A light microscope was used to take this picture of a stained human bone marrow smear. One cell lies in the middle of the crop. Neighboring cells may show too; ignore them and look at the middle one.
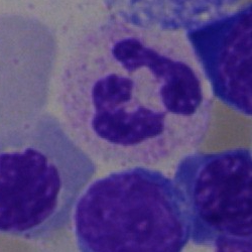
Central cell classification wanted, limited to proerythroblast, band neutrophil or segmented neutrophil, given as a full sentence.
The cell centred in this crop is categorized as a segmented neutrophil.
